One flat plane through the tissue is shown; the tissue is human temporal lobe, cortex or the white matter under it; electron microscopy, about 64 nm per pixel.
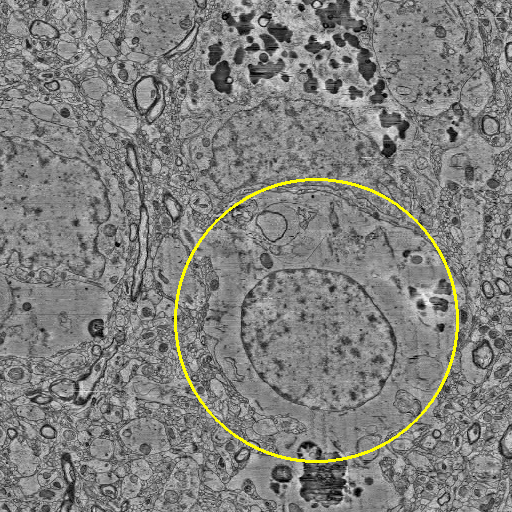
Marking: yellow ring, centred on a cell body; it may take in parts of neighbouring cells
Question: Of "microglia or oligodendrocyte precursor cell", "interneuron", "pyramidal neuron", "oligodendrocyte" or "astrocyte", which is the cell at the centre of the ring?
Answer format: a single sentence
The ring surrounds the body of an astrocyte.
